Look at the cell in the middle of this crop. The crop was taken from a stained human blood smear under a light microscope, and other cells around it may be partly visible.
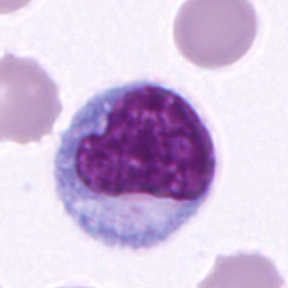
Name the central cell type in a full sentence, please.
The middle of this crop holds a plasma cell.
